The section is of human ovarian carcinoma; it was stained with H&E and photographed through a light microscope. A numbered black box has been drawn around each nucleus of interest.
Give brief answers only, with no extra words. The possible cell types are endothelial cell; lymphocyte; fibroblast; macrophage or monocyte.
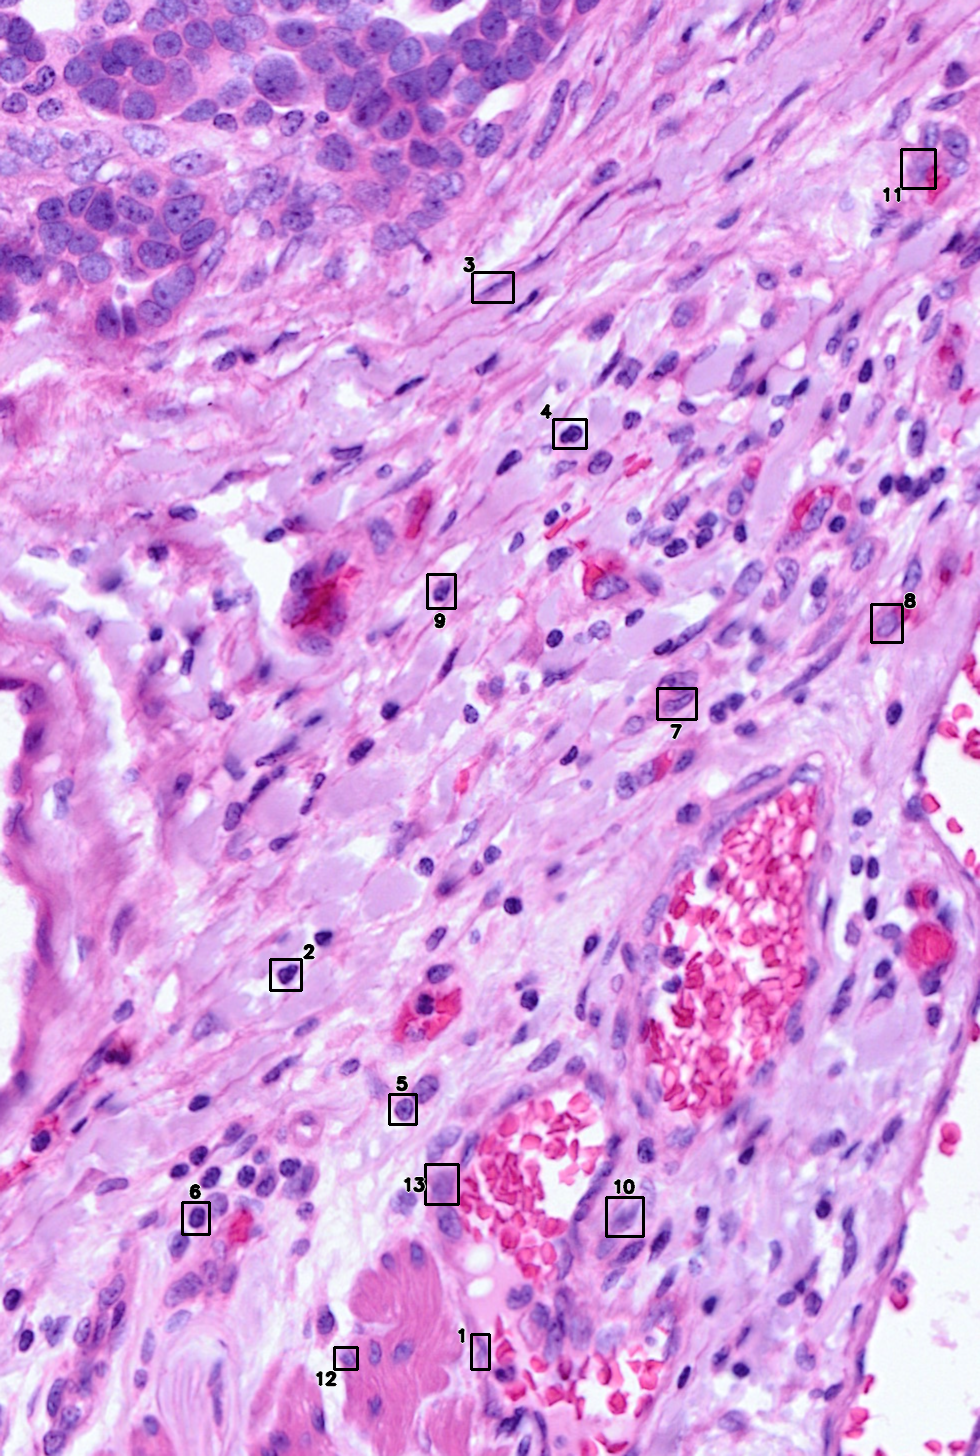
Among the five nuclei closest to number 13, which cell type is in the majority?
fibroblast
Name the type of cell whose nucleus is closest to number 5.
macrophage or monocyte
